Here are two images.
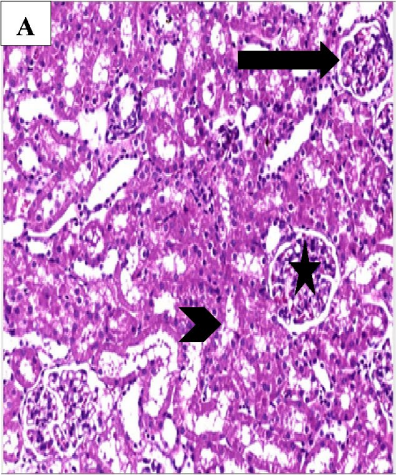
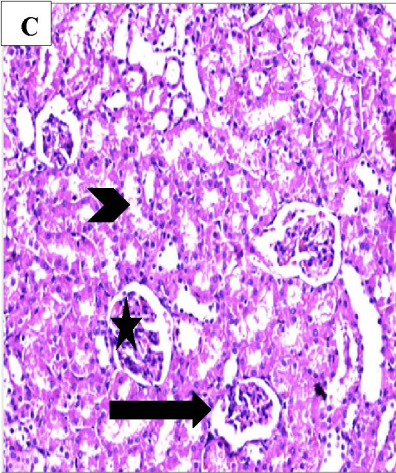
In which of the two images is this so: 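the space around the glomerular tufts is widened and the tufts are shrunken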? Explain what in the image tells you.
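Second image: glomerular tufts are small, with a broad clear rim inside the capsule. First image: tufts fill most of the capsule, leaving only a thin clear rim.
The second image.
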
